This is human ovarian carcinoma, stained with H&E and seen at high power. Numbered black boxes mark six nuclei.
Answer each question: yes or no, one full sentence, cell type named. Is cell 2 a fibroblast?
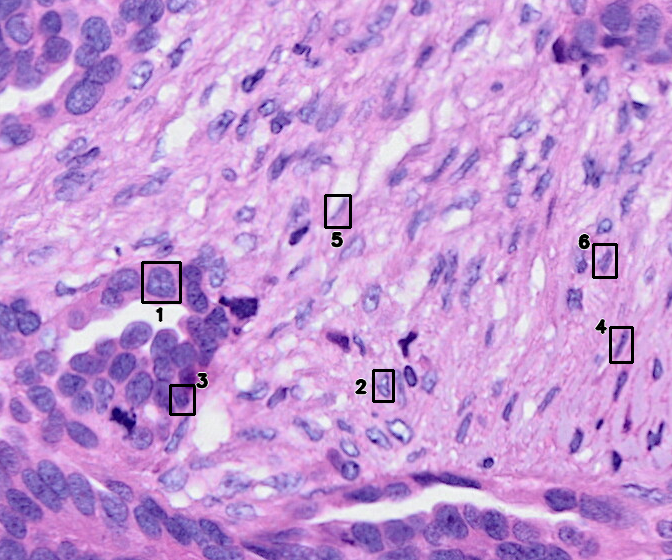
Yes, looking at number 2, that cell is a fibroblast.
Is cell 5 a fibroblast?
Yes, so the cell at label 5 is a fibroblast.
